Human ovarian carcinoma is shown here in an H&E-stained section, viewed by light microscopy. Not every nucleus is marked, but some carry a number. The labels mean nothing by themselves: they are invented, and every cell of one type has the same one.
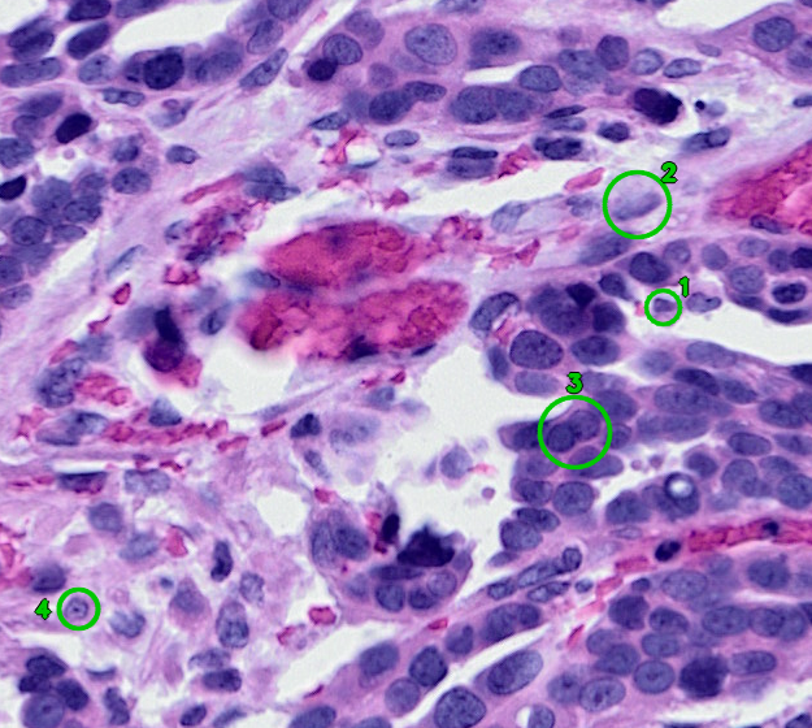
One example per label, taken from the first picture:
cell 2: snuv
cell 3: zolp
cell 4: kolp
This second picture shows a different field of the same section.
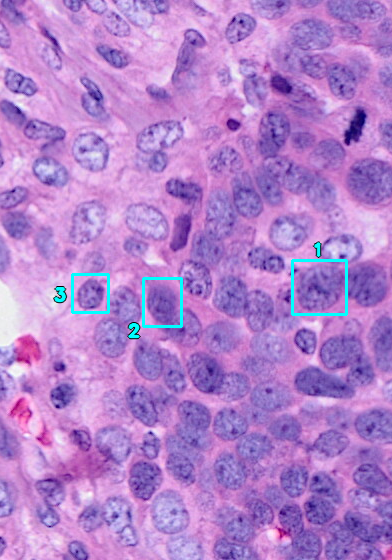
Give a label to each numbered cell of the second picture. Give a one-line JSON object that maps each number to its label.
{"1": "zolp", "2": "zolp", "3": "kolp"}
